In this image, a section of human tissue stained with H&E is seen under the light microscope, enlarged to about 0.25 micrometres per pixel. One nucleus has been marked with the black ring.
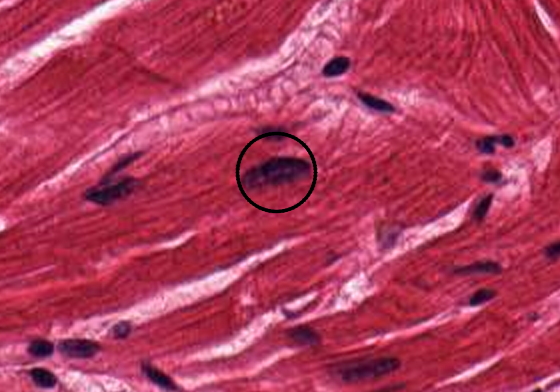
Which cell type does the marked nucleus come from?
cardiomyocyte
